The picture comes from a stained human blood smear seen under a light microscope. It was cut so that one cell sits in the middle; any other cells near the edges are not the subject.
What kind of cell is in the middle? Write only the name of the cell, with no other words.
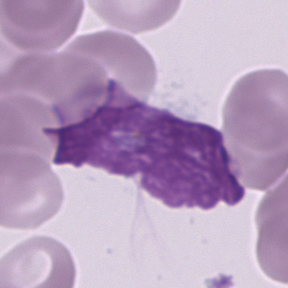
smudge cell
